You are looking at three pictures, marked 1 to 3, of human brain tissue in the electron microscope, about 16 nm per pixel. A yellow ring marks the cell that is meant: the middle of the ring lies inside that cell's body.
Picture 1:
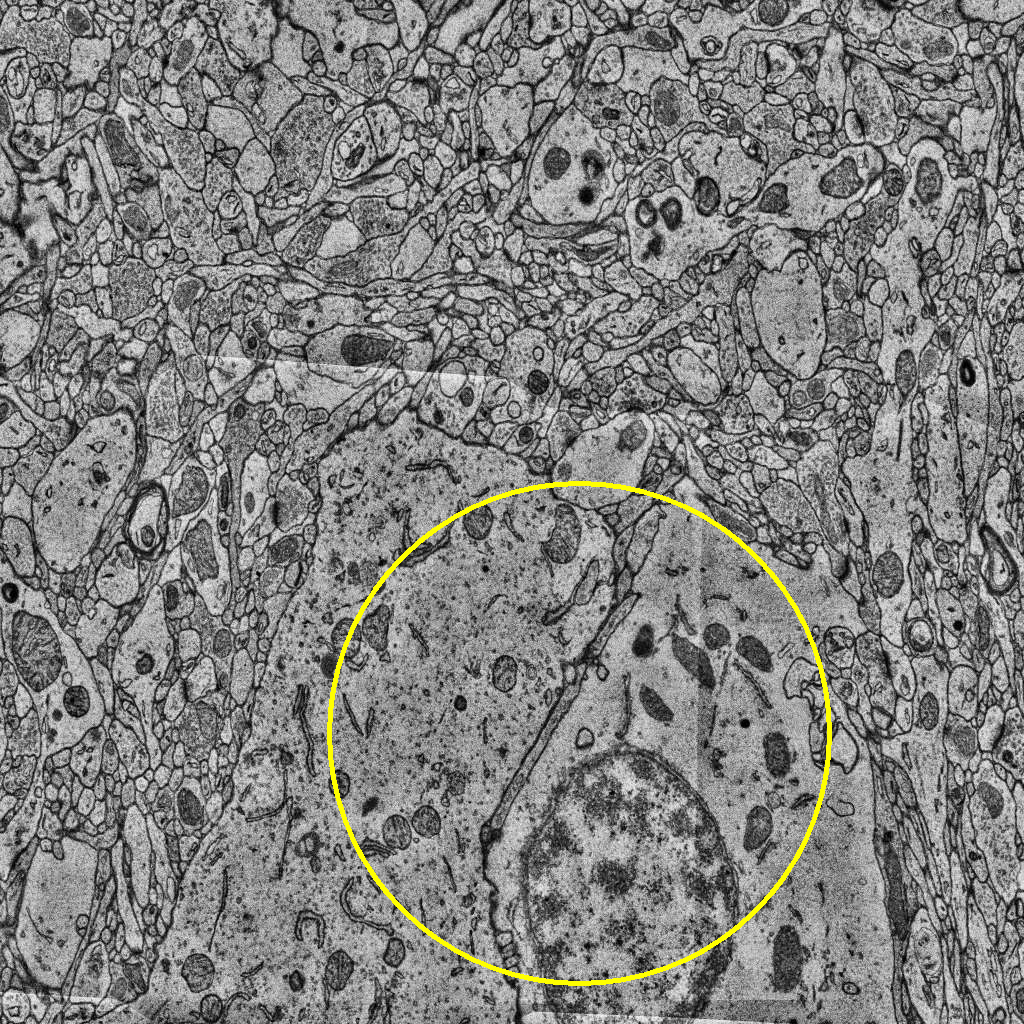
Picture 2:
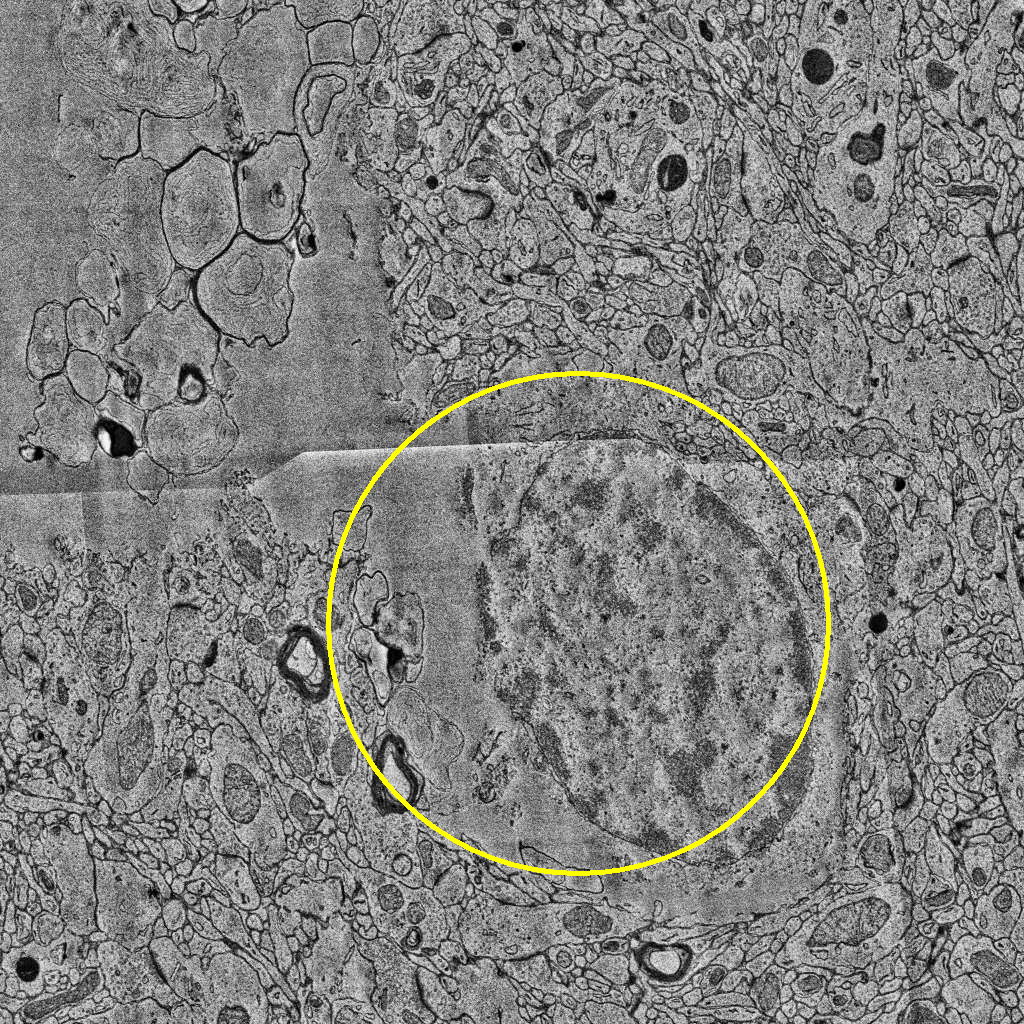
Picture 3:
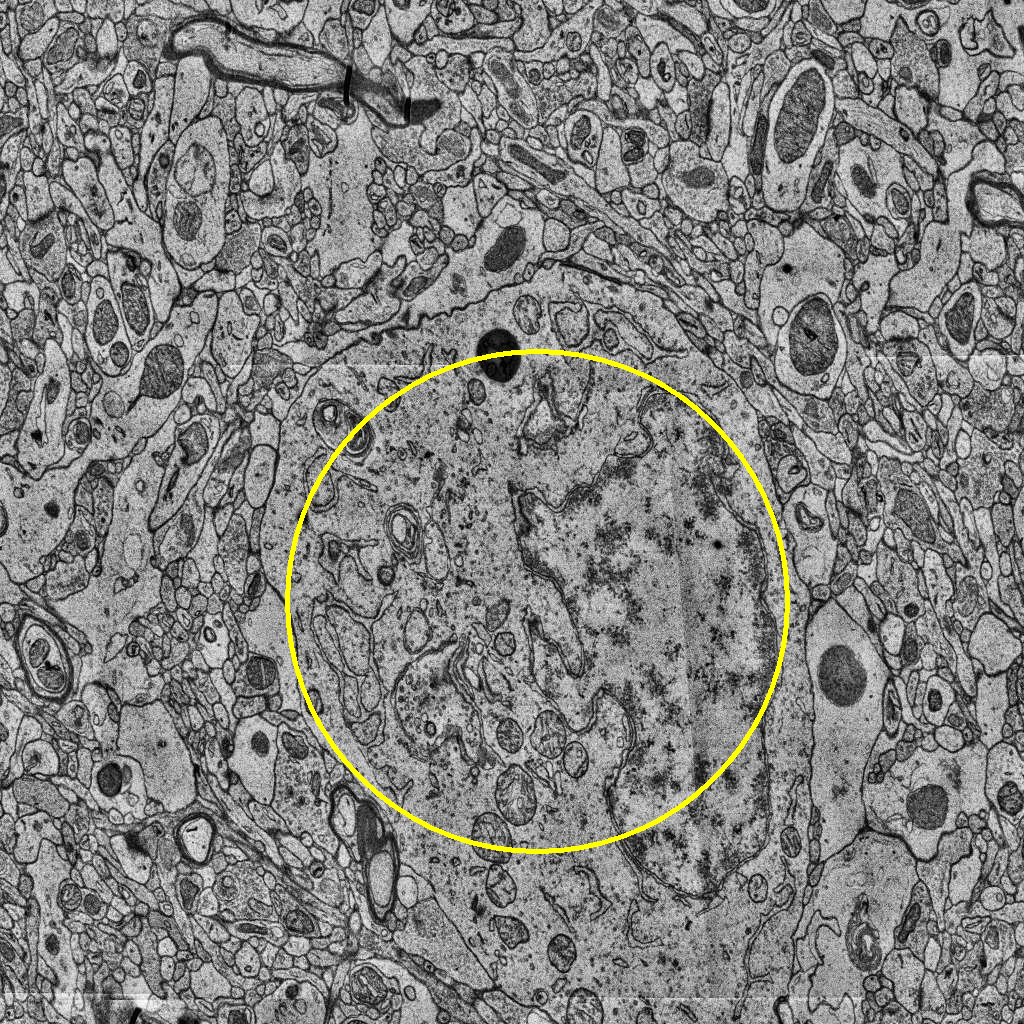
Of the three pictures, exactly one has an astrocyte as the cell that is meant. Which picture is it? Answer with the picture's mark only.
1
